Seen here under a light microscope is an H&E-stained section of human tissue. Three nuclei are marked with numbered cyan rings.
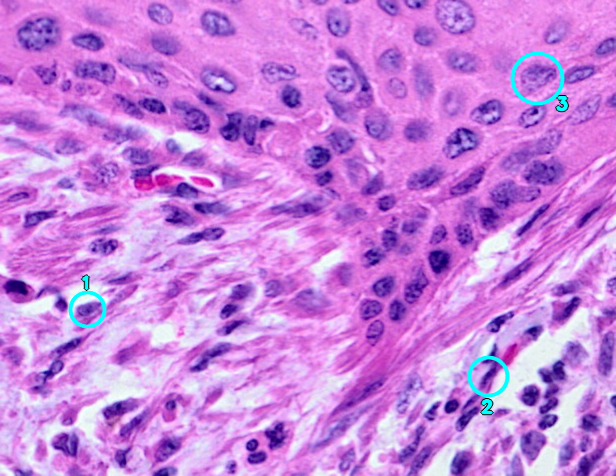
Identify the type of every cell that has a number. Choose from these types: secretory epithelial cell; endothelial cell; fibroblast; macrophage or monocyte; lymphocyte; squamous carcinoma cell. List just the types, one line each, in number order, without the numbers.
fibroblast
endothelial cell
squamous carcinoma cell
